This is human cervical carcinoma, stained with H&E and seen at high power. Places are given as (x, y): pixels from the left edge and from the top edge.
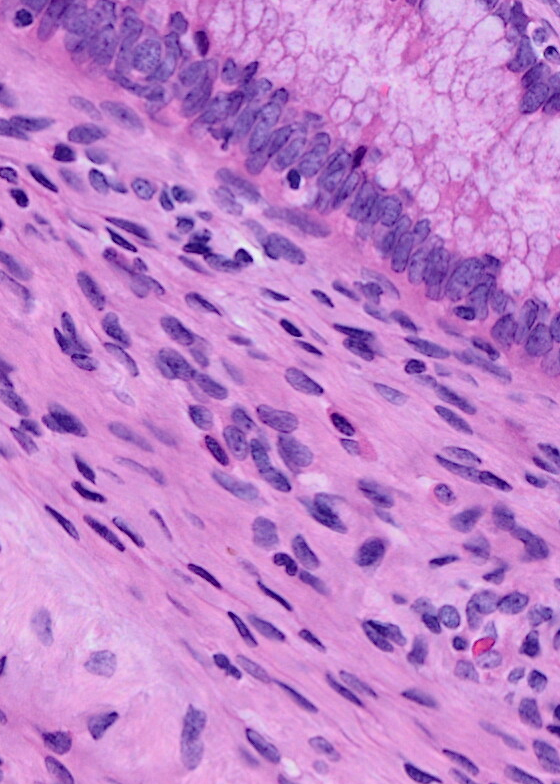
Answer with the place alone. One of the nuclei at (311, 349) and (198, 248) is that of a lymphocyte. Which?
(198, 248)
